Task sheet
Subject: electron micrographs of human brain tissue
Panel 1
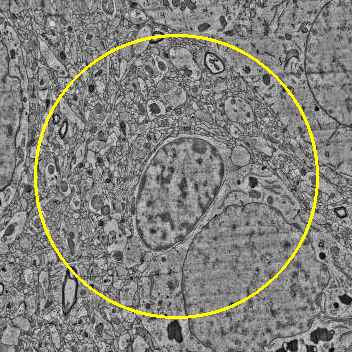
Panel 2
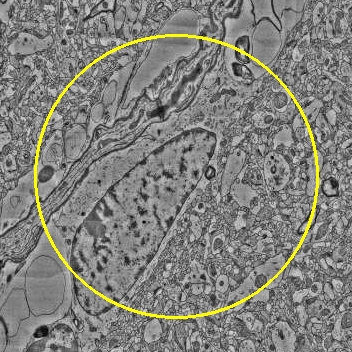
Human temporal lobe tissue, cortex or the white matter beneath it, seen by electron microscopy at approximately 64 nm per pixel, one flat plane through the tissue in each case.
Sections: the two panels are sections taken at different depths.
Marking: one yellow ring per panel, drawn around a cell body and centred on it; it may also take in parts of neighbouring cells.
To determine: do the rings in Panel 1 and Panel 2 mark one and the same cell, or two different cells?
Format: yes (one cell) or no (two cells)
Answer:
no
